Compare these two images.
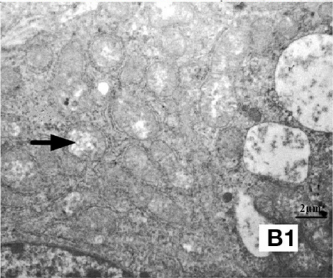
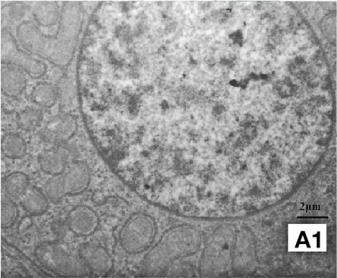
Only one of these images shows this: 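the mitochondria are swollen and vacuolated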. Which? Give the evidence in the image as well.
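First image: mitochondria are pale with cleared centres, and large clear vacuoles lie in the cytoplasm. Second image: mitochondria are compact, round to oval, with an evenly grey matrix beside an intact nucleus. On this evidence: the first image.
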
